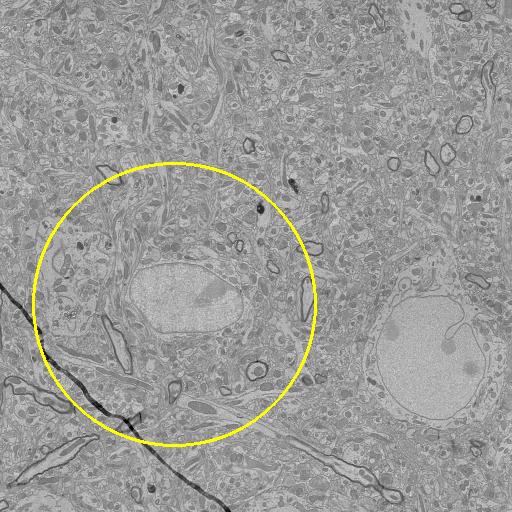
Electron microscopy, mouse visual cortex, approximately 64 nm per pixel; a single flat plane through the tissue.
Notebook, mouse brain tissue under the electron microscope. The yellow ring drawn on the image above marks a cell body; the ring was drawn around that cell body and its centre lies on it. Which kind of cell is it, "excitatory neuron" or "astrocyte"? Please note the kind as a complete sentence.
The marked cell body is that of an astrocyte.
